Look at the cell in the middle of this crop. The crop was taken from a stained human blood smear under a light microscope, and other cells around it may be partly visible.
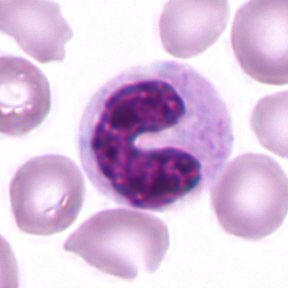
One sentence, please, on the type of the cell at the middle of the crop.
The central cell, amid any neighbouring cells, is a band neutrophil.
